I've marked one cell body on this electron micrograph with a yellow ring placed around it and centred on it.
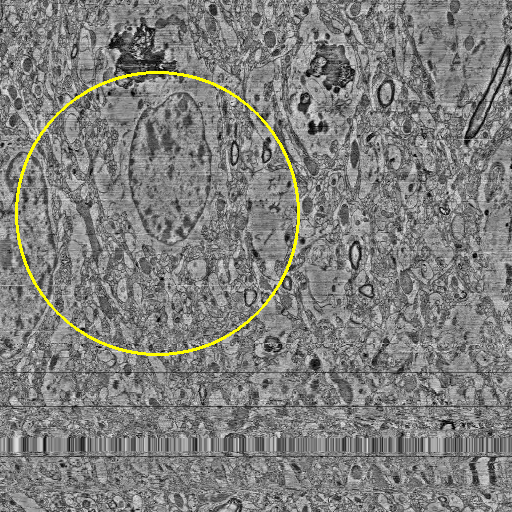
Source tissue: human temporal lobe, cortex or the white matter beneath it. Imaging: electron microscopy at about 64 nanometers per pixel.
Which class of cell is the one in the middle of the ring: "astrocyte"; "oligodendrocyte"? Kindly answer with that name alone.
astrocyte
